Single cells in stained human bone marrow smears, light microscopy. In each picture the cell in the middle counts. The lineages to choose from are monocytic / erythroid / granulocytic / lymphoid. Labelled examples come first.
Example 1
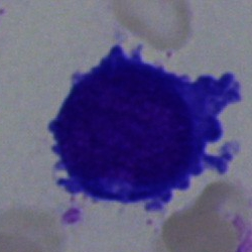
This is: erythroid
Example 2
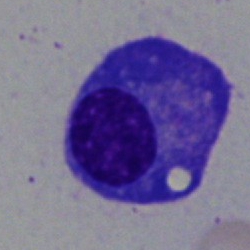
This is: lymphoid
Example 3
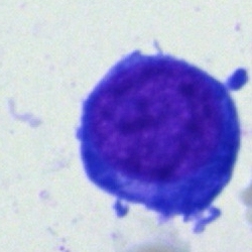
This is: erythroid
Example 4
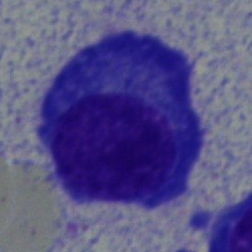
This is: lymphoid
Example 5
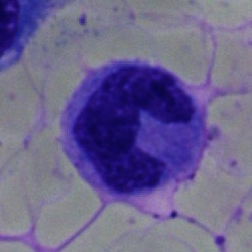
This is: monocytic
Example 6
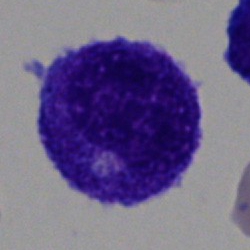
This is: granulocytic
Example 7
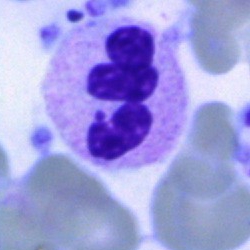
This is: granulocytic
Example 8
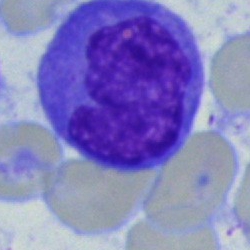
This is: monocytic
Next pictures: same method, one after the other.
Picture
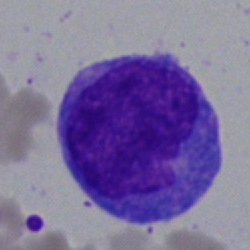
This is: monocytic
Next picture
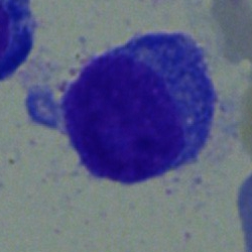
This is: lymphoid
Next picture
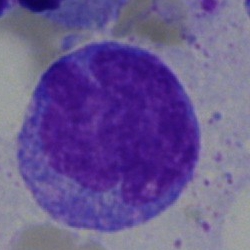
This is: monocytic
